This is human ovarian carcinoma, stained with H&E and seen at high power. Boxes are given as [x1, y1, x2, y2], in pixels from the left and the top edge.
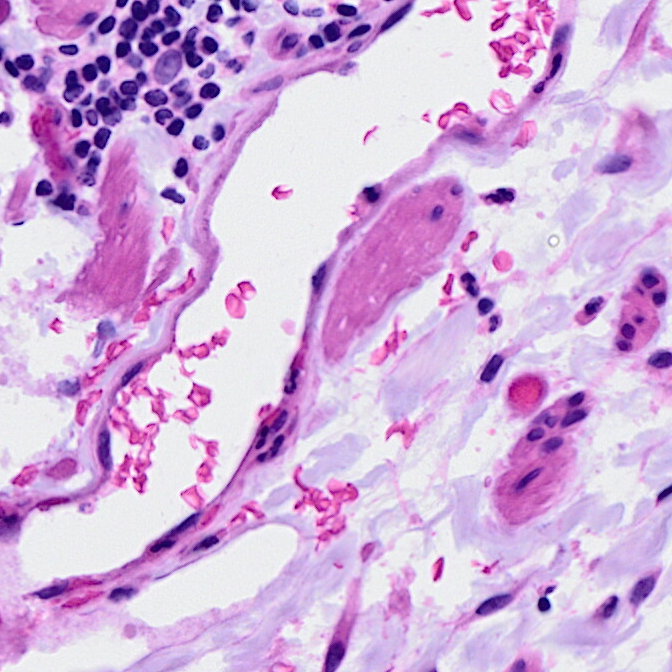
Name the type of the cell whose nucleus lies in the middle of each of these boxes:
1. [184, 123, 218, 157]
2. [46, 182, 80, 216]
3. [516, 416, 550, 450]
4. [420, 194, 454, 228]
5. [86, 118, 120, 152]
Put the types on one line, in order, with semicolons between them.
lymphocyte; lymphocyte; smooth muscle cell; smooth muscle cell; lymphocyte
